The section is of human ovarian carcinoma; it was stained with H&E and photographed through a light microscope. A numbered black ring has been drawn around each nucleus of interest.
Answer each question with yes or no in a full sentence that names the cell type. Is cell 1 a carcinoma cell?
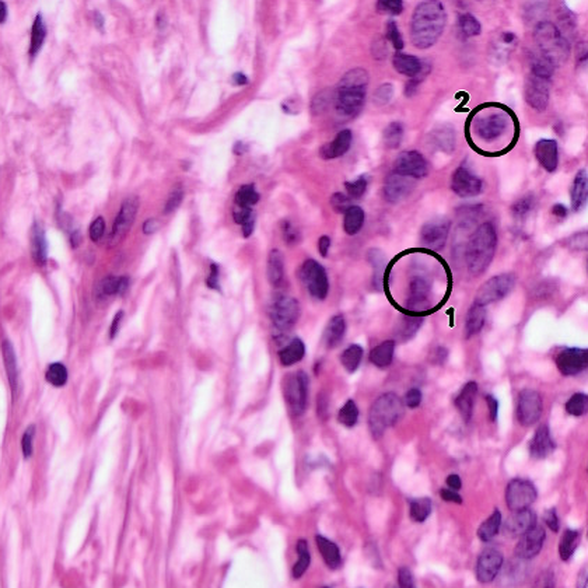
Yes, and to answer plainly, cell 1 is a carcinoma cell.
